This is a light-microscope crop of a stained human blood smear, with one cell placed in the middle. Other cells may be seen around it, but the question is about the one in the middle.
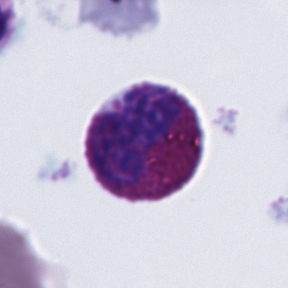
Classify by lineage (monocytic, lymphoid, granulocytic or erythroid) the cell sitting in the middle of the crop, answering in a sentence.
Lineage of the cell at the center of this crop: granulocytic.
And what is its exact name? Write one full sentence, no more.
Centred in the crop is an eosinophil.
